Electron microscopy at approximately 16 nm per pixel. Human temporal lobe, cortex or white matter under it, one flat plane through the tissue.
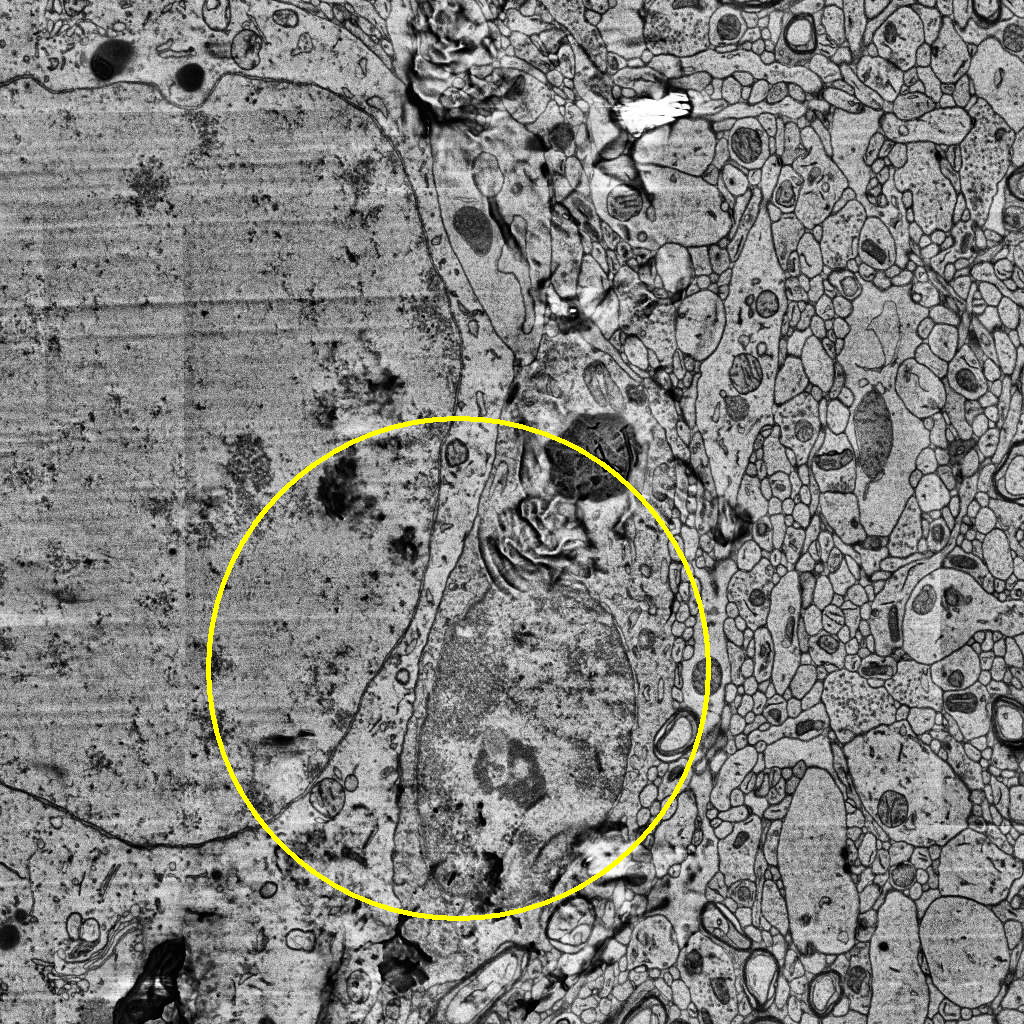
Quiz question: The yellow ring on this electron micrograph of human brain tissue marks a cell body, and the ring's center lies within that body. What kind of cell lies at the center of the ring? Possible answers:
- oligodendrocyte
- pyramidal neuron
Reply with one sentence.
The ring's center lies on an oligodendrocyte.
